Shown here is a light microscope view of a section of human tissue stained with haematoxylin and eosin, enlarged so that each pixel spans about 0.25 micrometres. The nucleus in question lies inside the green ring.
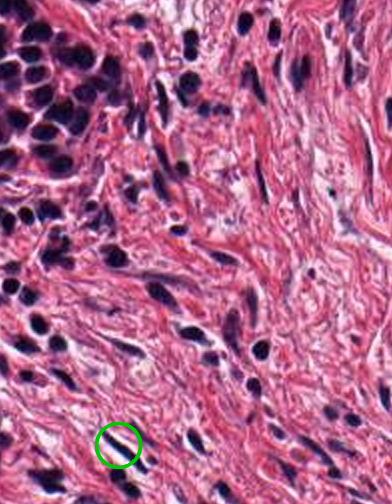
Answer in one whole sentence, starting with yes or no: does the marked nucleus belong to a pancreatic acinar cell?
No, what carries the marked nucleus is a supporting cell rather than a pancreatic acinar cell.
